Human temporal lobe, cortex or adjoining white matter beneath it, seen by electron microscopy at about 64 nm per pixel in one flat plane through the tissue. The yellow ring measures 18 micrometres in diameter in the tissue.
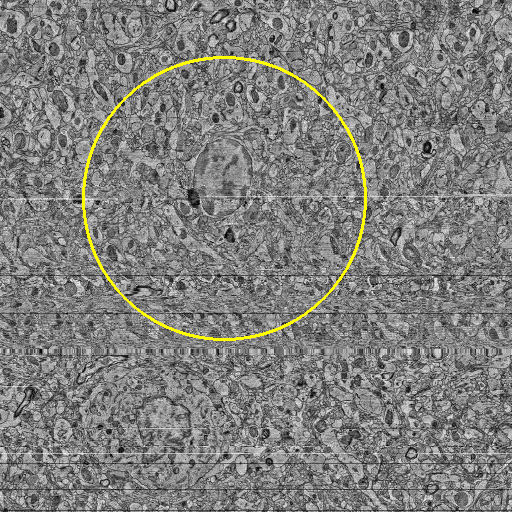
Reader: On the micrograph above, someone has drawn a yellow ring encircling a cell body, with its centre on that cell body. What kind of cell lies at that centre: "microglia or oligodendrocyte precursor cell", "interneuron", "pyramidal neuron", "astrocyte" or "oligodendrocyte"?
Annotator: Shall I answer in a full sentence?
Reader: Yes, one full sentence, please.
Here a microglial cell or oligodendrocyte precursor cell sits at the centre of the yellow ring drawn on the micrograph.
